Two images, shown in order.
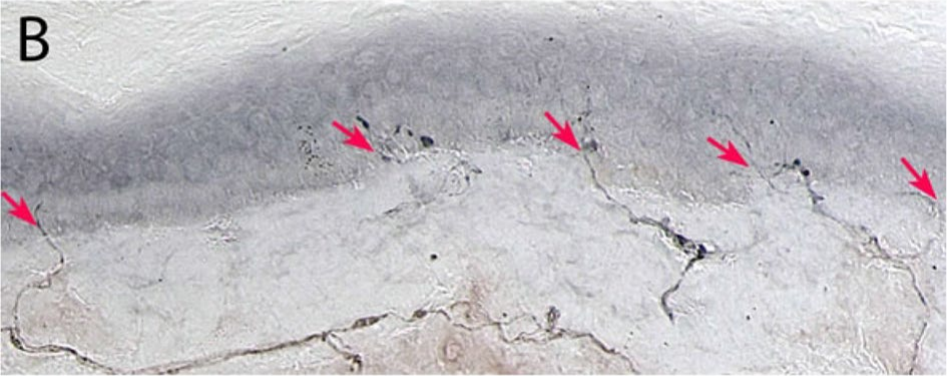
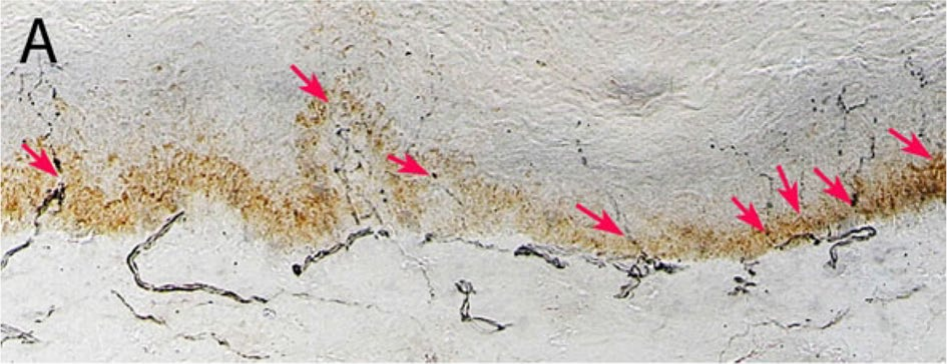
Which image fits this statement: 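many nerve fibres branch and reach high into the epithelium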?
The second image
